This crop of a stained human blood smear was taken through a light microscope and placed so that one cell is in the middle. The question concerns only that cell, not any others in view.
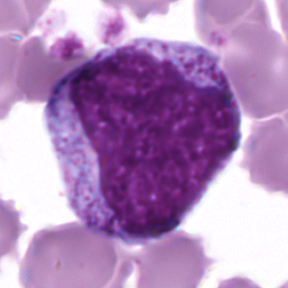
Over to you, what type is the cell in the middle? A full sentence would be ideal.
Here the centrally located cell is a promyelocyte.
